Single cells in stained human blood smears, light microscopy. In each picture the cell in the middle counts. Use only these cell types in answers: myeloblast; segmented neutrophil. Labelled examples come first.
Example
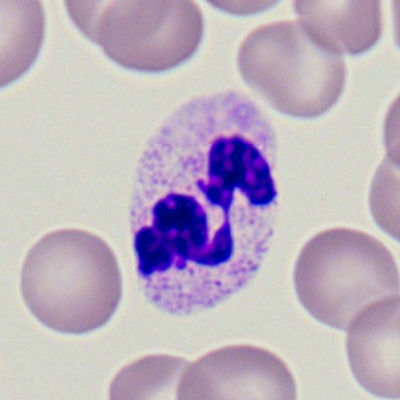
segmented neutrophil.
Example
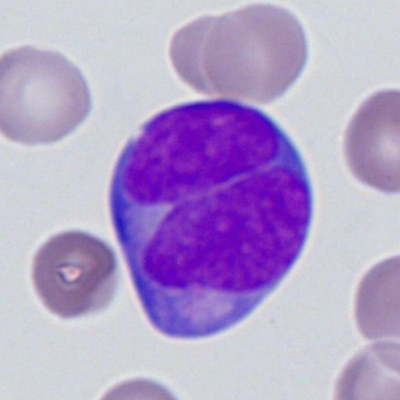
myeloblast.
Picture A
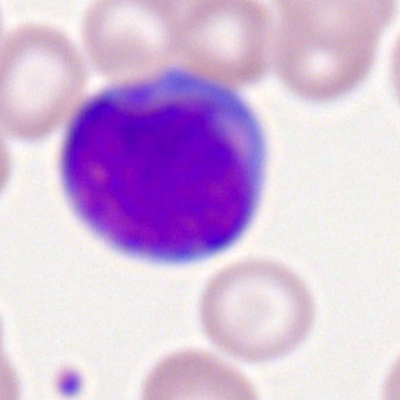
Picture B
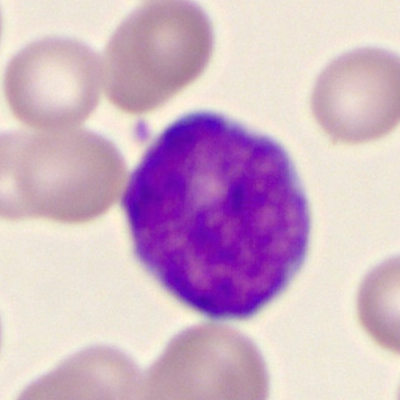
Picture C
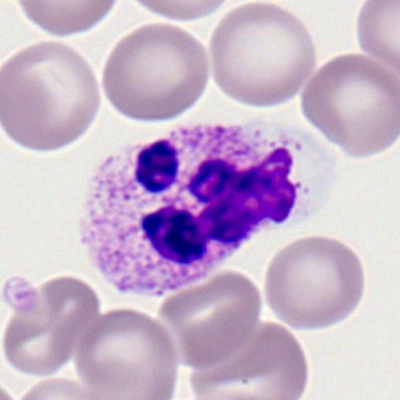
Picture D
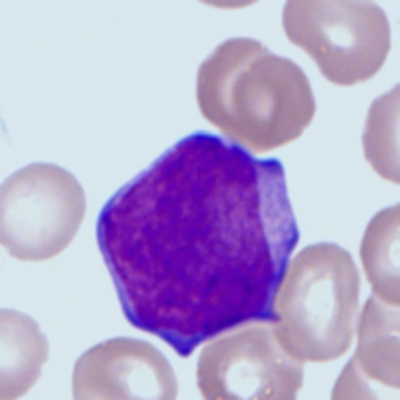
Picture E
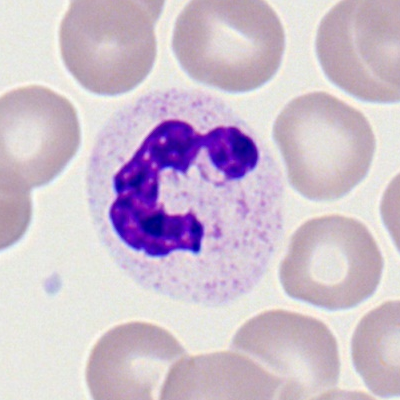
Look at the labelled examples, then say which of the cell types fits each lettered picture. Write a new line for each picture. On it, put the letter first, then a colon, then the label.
A: myeloblast.
B: myeloblast.
C: segmented neutrophil.
D: myeloblast.
E: segmented neutrophil.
